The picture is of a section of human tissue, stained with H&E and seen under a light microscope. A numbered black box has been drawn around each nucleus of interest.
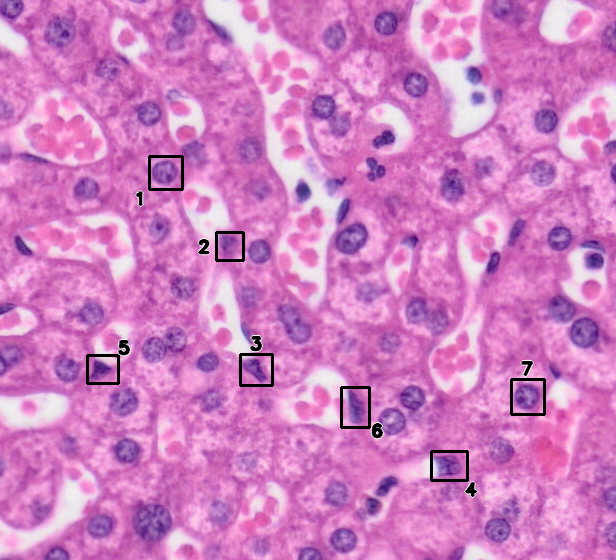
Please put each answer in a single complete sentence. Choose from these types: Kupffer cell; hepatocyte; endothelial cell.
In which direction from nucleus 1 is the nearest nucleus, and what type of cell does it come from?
The nearest nucleus is that of an endothelial cell and lies above and to the right of nucleus 1.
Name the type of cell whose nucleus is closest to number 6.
Closest to number 6 lies the nucleus of a hepatocyte.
